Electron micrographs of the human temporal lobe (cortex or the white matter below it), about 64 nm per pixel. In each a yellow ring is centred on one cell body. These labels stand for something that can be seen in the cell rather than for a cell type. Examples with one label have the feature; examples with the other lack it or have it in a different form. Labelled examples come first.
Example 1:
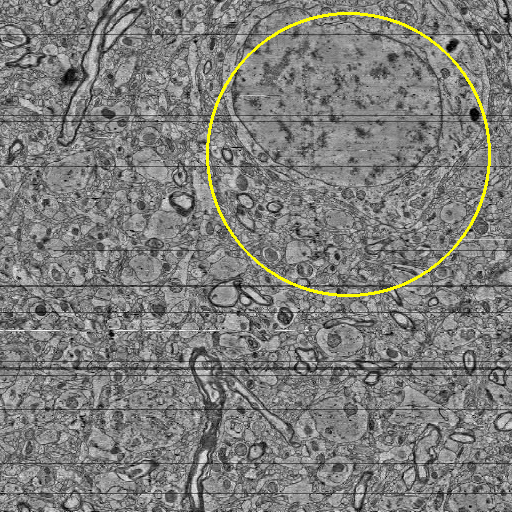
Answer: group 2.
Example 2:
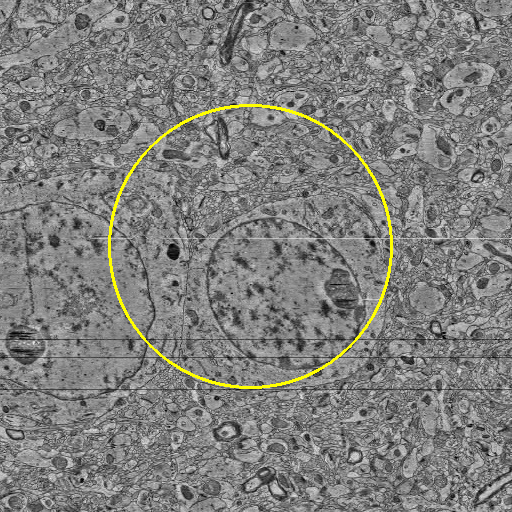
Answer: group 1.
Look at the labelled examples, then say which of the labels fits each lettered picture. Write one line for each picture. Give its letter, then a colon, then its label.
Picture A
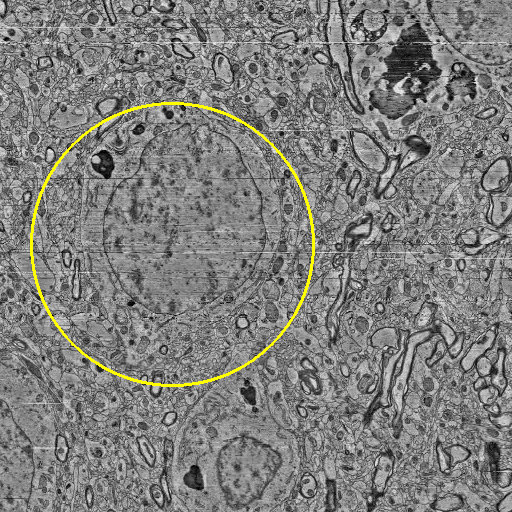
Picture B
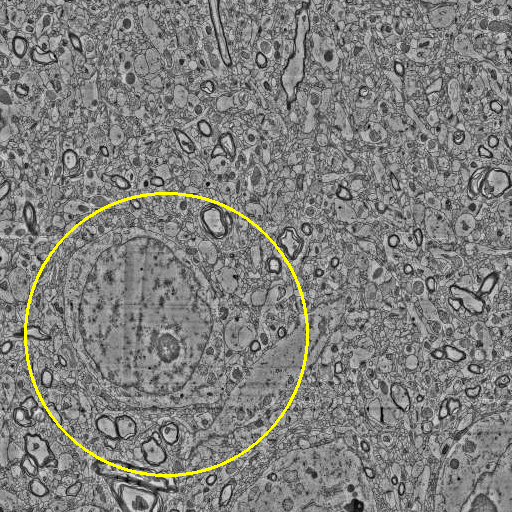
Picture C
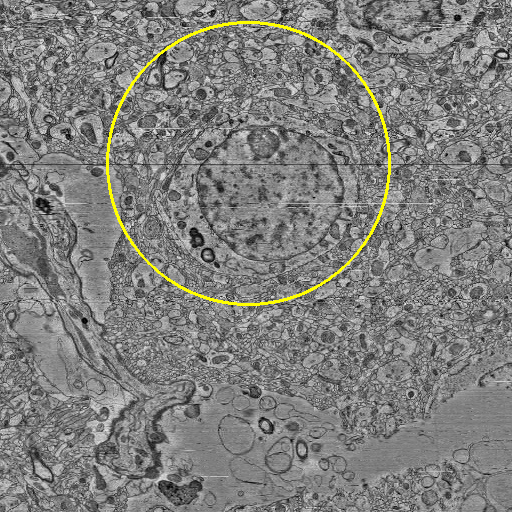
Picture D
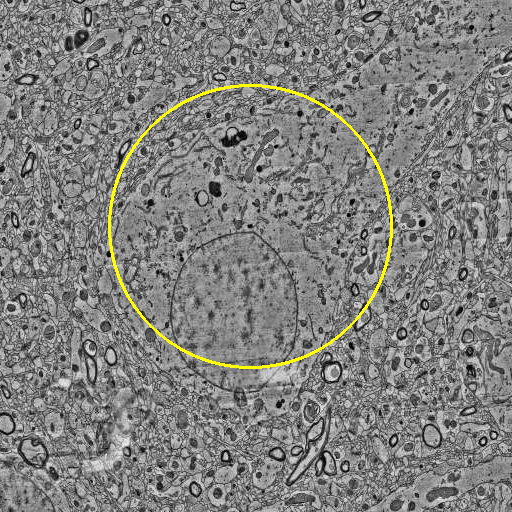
A: group 2.
B: group 1.
C: group 1.
D: group 2.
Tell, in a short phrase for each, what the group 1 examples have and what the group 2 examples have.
In group 1: nucleolus seen. In group 2: no nucleolus seen.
